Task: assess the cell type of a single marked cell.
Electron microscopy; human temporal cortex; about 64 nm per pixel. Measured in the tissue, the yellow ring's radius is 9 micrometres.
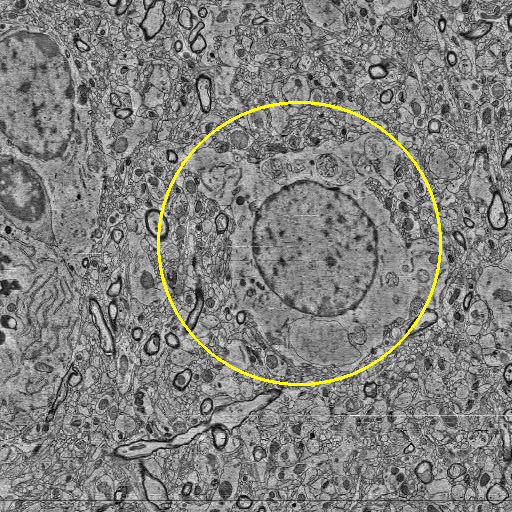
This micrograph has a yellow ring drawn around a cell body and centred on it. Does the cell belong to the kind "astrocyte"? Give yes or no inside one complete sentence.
Yes, the marked cell at the centre of the ring belongs to that kind.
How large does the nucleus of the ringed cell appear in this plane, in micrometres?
The nucleus appears about 8 micrometres across in this plane.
